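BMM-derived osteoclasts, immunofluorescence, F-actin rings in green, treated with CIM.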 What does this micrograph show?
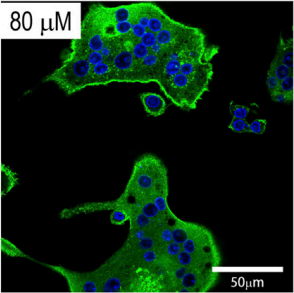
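The green stain fills the cytoplasm faintly and is brighter along the irregular cell edges. A few much smaller cells with one or a few nuclei lie between the large ones, and much of the field is empty.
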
